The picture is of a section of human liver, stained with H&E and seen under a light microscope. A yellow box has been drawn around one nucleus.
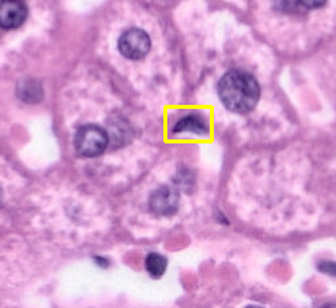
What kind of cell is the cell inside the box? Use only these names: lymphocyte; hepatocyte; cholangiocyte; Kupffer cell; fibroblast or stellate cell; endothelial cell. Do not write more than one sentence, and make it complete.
In short, the cell inside the box on this section is an endothelial cell.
